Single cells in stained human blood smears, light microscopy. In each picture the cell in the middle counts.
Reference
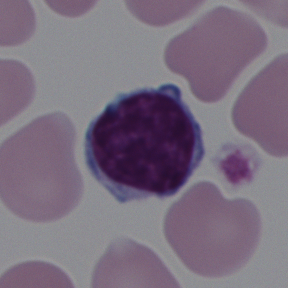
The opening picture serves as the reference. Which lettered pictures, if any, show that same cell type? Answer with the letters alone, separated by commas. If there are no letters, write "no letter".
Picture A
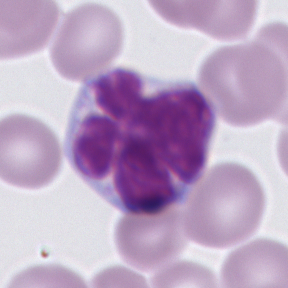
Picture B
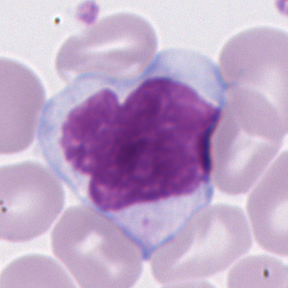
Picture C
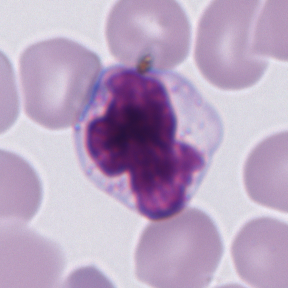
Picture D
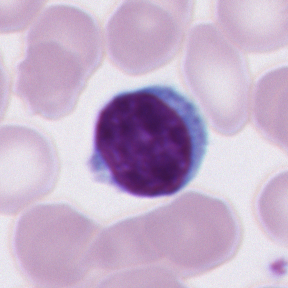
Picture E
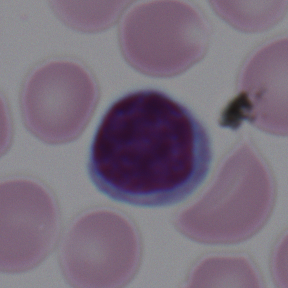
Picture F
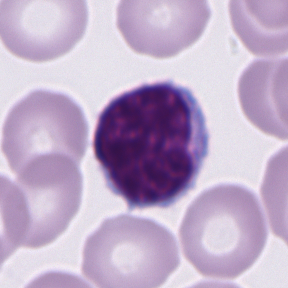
D, E, F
